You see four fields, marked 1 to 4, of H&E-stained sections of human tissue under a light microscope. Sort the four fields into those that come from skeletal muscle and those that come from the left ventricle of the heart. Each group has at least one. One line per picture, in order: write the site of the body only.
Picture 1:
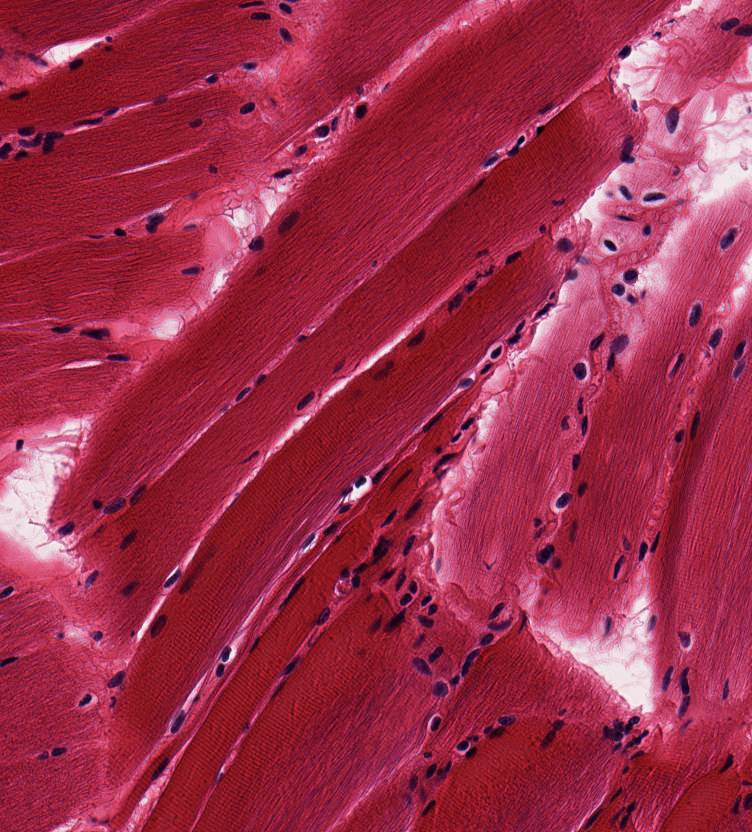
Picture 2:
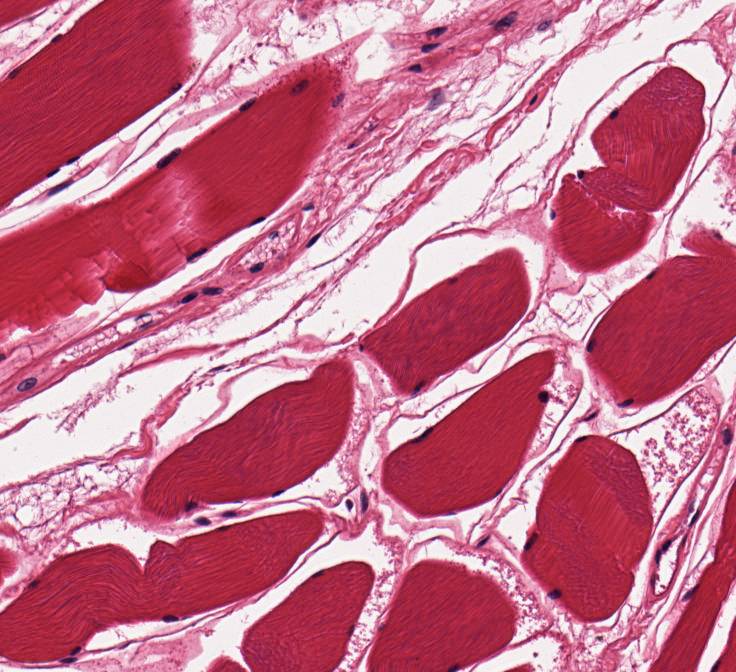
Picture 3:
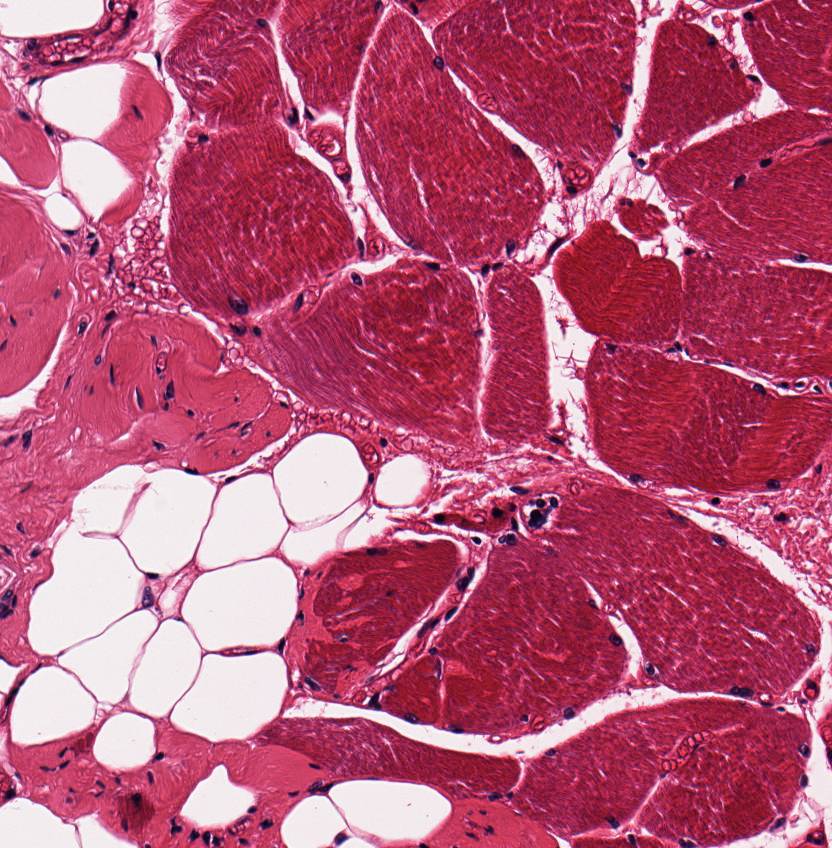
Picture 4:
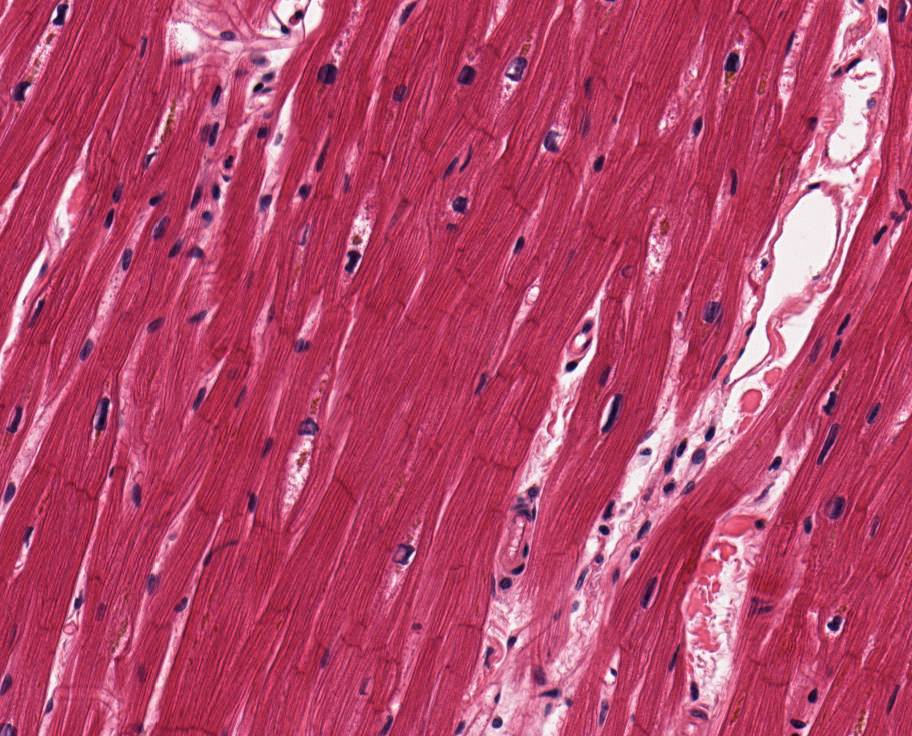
skeletal muscle
skeletal muscle
skeletal muscle
left ventricle of the heart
